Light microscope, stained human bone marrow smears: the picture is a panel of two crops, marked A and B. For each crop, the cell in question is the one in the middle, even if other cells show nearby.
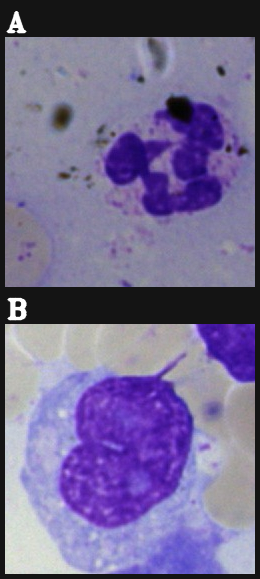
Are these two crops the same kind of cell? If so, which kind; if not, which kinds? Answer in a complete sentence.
No, crop A shows a neutrophil and crop B shows a monocyte.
